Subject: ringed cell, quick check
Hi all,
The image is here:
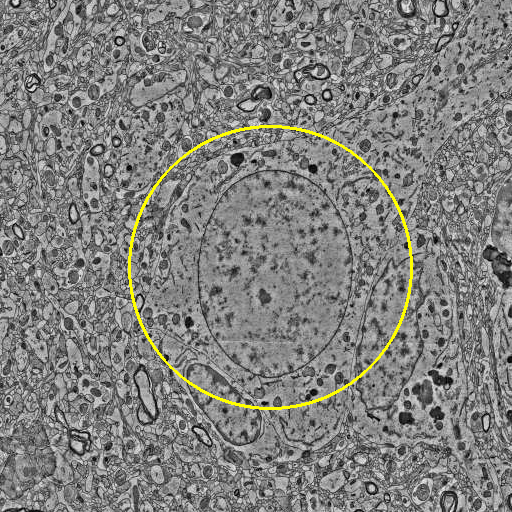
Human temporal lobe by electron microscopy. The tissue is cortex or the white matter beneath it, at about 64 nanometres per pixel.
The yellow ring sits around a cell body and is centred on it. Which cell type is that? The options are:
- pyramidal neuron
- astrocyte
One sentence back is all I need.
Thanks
That ringed cell is a pyramidal neuron.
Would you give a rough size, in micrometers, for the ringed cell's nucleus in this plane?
About 13 by 10 micrometres in this plane.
